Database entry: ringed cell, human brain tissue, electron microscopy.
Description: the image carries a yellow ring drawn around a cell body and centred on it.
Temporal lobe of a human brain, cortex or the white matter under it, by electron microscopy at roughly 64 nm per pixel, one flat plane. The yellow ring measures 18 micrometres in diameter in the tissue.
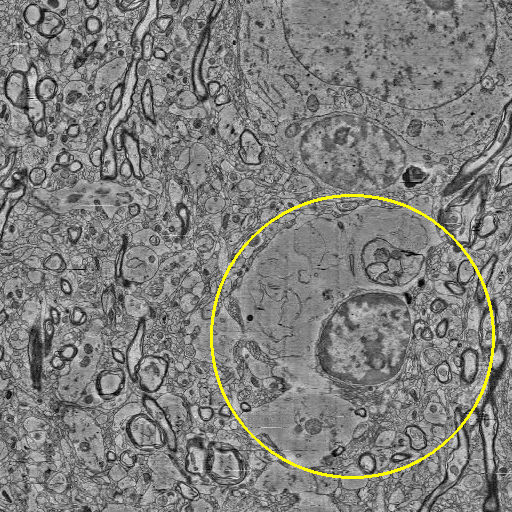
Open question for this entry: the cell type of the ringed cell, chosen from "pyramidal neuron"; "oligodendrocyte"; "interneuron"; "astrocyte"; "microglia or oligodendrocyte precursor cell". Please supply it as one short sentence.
The ringed cell is a microglial cell or oligodendrocyte precursor cell.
